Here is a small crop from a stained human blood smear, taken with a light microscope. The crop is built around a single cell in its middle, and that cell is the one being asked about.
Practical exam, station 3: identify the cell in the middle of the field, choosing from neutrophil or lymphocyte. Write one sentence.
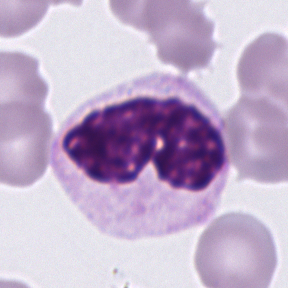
Among the cells in view, the one in the middle is a neutrophil.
